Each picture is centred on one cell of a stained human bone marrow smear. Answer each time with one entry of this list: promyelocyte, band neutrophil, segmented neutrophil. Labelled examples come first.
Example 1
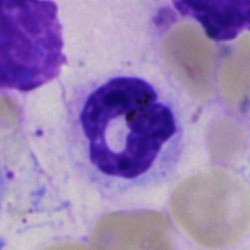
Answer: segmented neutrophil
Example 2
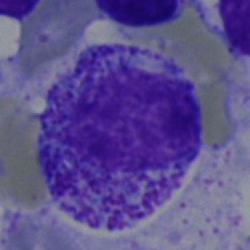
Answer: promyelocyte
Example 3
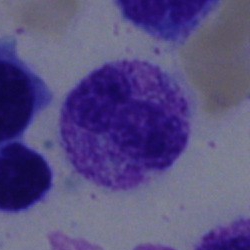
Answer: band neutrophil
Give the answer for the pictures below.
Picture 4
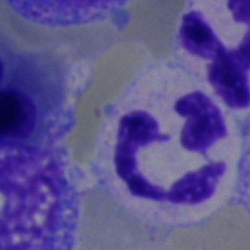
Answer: segmented neutrophil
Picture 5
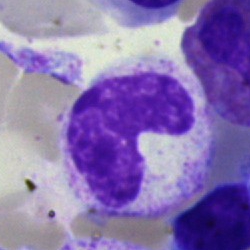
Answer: band neutrophil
